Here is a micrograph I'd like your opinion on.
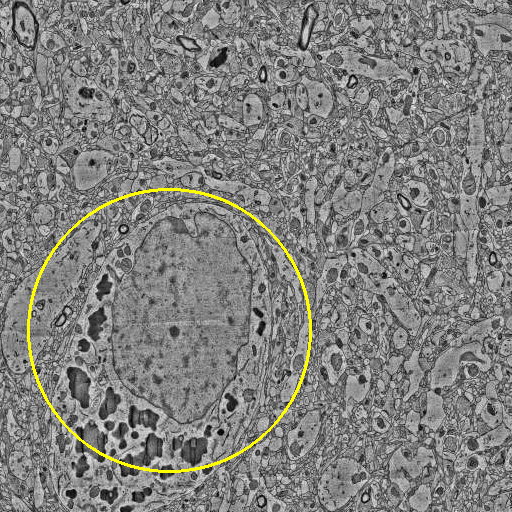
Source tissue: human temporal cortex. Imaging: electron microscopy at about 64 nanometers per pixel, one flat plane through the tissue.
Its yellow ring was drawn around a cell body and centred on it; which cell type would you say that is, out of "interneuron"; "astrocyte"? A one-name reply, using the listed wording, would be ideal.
interneuron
